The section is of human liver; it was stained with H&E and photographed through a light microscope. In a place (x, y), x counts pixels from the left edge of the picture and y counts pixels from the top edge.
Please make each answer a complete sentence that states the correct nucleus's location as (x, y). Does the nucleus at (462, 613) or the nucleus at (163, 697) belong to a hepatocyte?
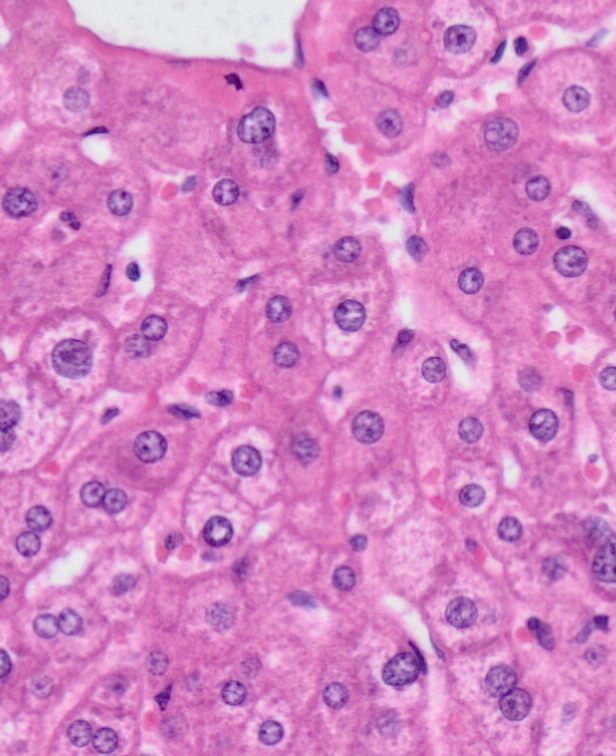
The nucleus at (462, 613) is the one of the two that belongs to a hepatocyte.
